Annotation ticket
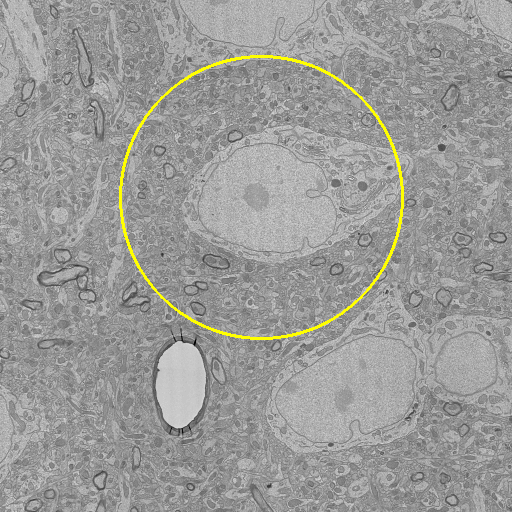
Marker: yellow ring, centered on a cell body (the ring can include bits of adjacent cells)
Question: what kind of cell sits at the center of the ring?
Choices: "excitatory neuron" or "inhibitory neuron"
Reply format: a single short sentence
The ring is centered on an inhibitory neuron.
